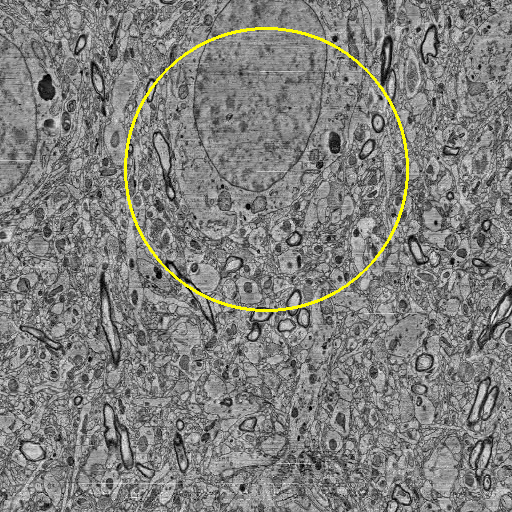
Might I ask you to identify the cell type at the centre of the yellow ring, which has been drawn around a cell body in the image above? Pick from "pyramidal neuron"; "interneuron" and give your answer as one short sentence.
The centre of the ring falls on a pyramidal neuron.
